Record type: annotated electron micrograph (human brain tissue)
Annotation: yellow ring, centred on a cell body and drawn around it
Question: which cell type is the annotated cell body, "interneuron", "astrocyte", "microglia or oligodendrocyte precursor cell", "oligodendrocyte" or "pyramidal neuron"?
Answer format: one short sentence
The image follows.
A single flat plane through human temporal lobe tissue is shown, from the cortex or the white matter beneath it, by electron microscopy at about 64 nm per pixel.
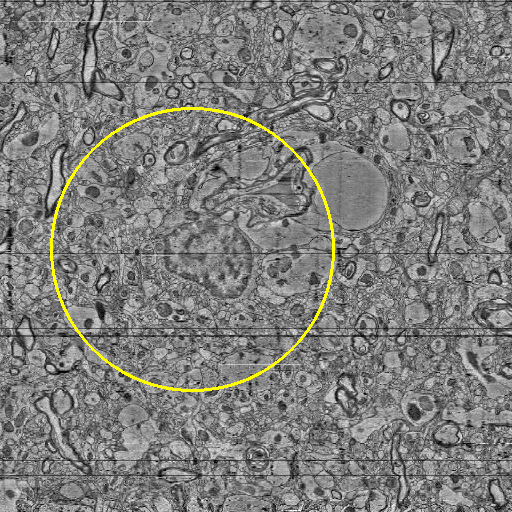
The annotated cell body is that of an oligodendrocyte.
